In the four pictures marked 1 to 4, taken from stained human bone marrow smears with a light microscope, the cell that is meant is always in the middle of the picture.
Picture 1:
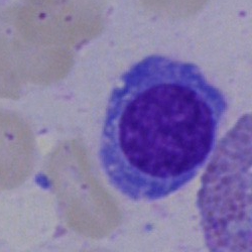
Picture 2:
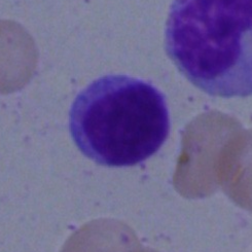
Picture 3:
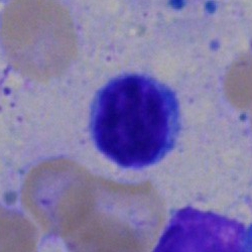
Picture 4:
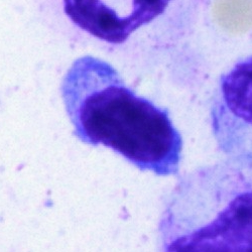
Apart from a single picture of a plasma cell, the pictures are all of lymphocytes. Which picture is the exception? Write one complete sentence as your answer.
The plasma cell is the one in picture 1.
